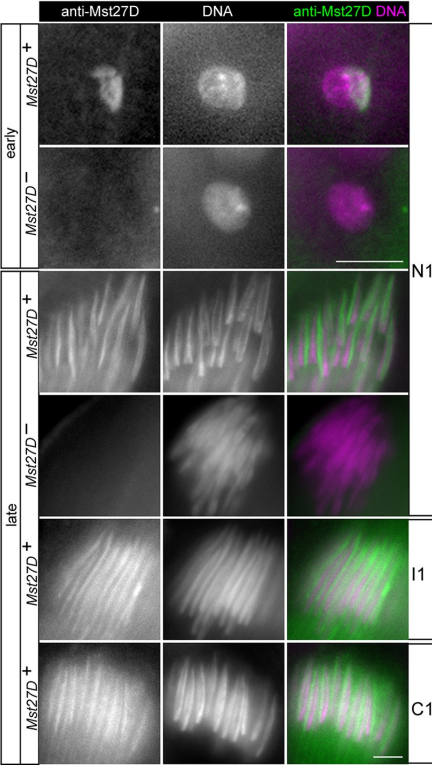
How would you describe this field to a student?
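These are spermatids within the testis, first at the onset of nuclear elongation and then at a later, canoe-like stage. In the early views, each spermatid has a single rounded nucleus, and in the labeled cell a green signal lies as a cap over one side of the nucleus. In the late views, many slender, elongated nuclei lie side by side in a parallel bundle, like closely packed needles. Where labeling is present, the green signal runs along one side of each elongated nucleus. In views lacking the signal, the nuclei are still visible but show no green.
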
